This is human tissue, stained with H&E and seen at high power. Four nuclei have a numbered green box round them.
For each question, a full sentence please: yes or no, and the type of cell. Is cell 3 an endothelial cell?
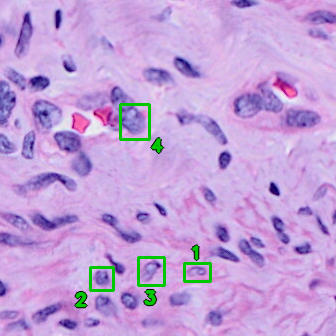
No, cell 3 is not an endothelial cell at all but a smooth muscle cell.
